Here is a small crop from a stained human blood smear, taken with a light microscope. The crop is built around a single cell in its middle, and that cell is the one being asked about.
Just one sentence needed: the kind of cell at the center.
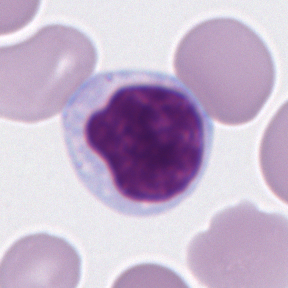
The cell under consideration, at the middle of the crop, is a typical lymphocyte.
